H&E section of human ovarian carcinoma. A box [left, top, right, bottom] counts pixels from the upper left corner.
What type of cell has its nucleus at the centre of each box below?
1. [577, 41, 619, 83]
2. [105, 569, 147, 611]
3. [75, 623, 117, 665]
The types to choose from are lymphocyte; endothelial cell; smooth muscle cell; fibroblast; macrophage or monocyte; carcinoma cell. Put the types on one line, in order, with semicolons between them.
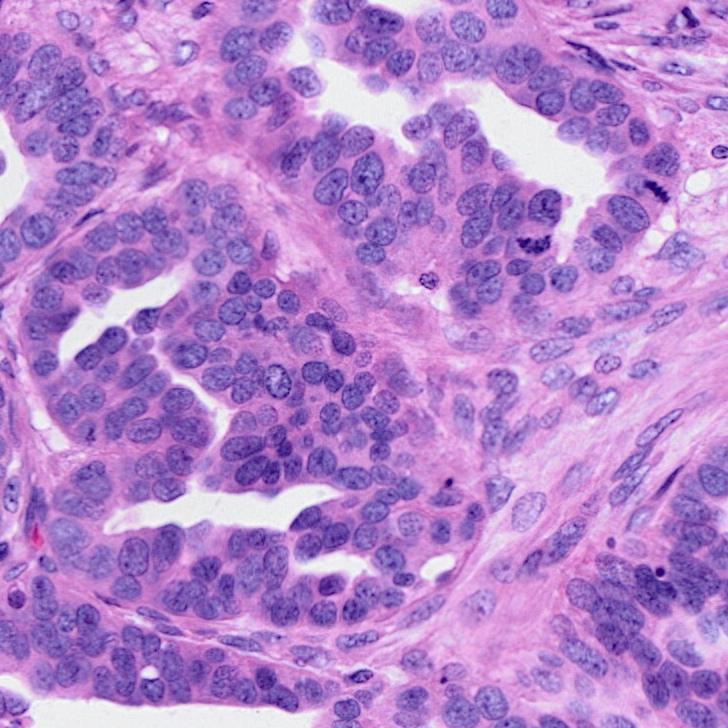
fibroblast; carcinoma cell; carcinoma cell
